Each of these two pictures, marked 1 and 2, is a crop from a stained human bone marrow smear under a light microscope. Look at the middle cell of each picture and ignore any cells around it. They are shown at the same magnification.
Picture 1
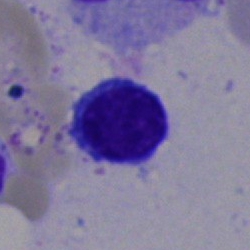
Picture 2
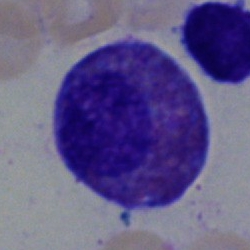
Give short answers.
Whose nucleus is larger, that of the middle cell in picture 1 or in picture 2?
2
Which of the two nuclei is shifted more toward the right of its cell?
1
